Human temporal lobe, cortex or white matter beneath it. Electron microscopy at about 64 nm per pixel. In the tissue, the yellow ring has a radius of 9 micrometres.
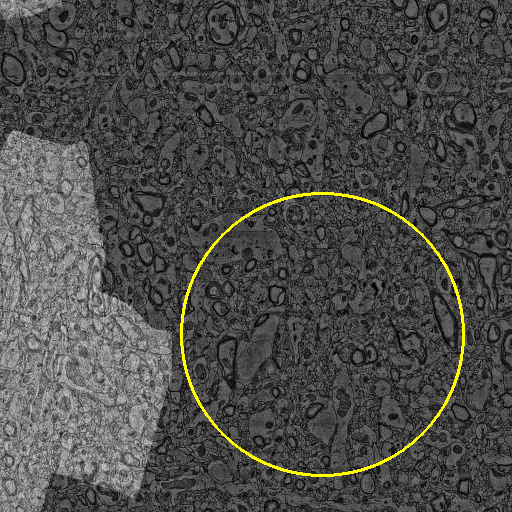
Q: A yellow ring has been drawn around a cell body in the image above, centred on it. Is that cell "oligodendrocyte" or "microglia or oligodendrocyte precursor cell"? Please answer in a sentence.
The ring surrounds the cell body of a microglial cell or oligodendrocyte precursor cell.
